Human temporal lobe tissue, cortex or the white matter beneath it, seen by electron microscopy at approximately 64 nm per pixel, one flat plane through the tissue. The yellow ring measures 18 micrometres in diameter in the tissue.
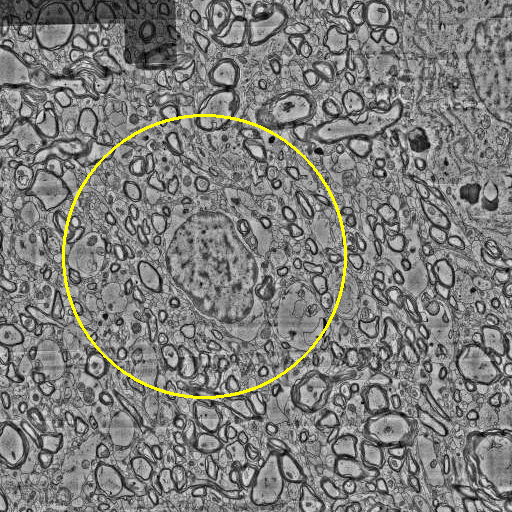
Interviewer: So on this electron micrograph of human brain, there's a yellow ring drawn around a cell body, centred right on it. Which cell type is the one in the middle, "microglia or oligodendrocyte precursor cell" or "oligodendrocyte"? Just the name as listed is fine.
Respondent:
microglia or oligodendrocyte precursor cell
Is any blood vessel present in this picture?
No, no blood vessel can be seen.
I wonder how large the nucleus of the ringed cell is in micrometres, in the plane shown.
About 7 by 5 micrometers for the nucleus, in this plane.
